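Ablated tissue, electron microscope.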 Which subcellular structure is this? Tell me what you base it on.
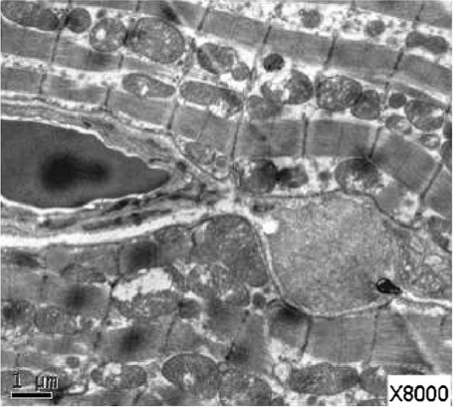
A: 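Aligned myofibrils. Parallel striated bands run across the panel. Regularly spaced dark transverse lines cross the bands. Rows of oval organelles lie between the bands.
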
